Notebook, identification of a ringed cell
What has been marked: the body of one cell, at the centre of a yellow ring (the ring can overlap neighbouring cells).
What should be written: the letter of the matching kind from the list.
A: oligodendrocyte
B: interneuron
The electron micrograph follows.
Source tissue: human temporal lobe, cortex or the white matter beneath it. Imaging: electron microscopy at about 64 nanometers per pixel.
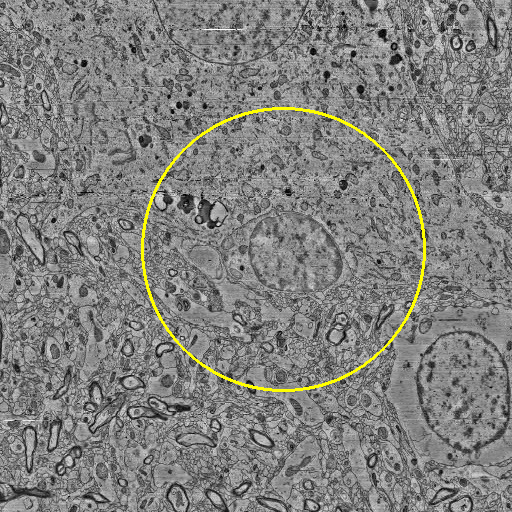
A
